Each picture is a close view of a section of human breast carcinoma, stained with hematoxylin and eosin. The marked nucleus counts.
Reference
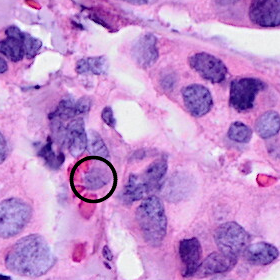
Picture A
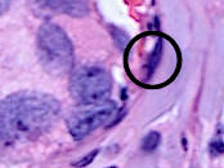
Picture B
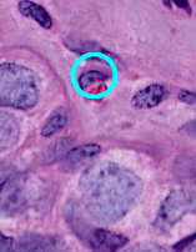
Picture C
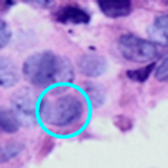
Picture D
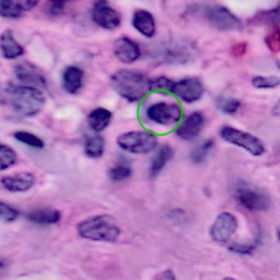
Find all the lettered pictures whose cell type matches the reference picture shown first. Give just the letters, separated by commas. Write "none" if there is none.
A, B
